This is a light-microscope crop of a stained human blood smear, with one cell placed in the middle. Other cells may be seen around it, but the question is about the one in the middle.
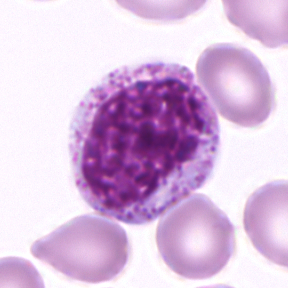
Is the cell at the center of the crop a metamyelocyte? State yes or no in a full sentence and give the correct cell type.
Yes, the centred cell is categorised as a metamyelocyte.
